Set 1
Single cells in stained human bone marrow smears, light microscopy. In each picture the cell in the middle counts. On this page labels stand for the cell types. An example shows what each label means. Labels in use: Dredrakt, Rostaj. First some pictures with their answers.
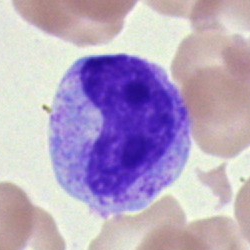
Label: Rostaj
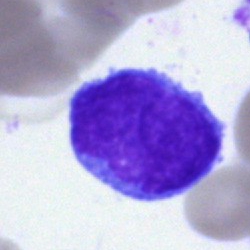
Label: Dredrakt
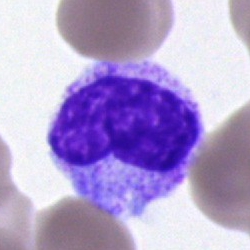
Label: Rostaj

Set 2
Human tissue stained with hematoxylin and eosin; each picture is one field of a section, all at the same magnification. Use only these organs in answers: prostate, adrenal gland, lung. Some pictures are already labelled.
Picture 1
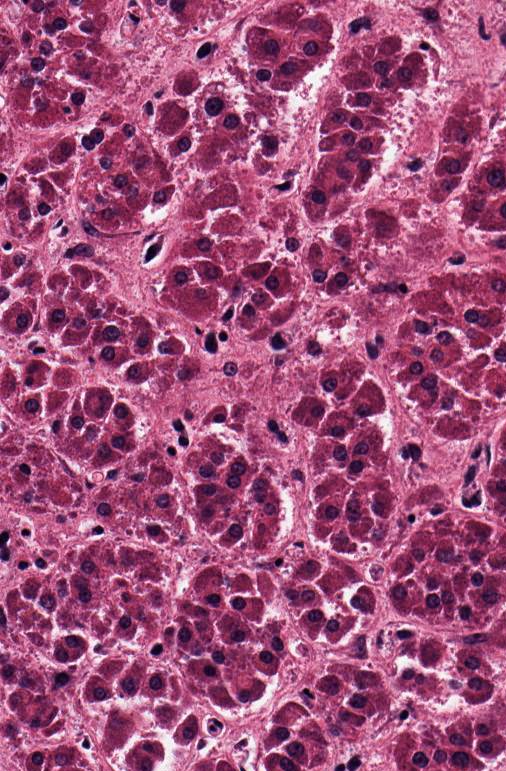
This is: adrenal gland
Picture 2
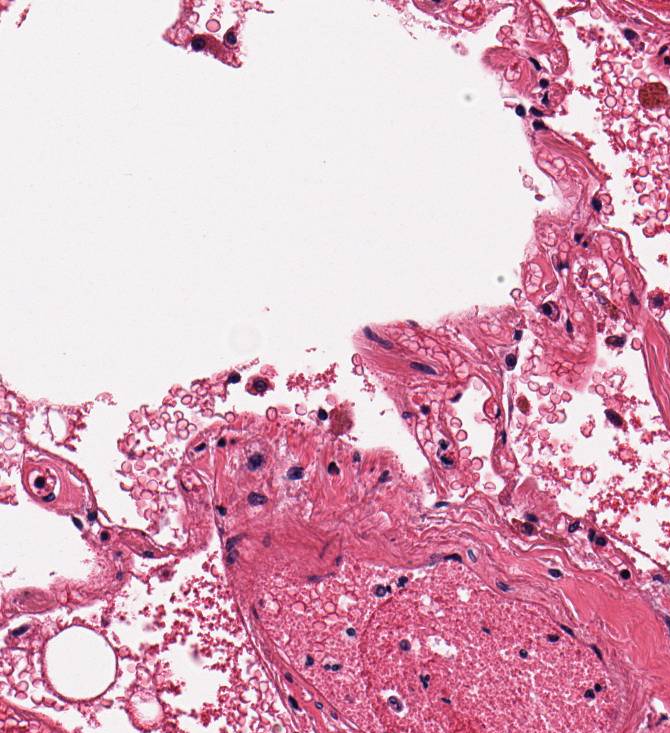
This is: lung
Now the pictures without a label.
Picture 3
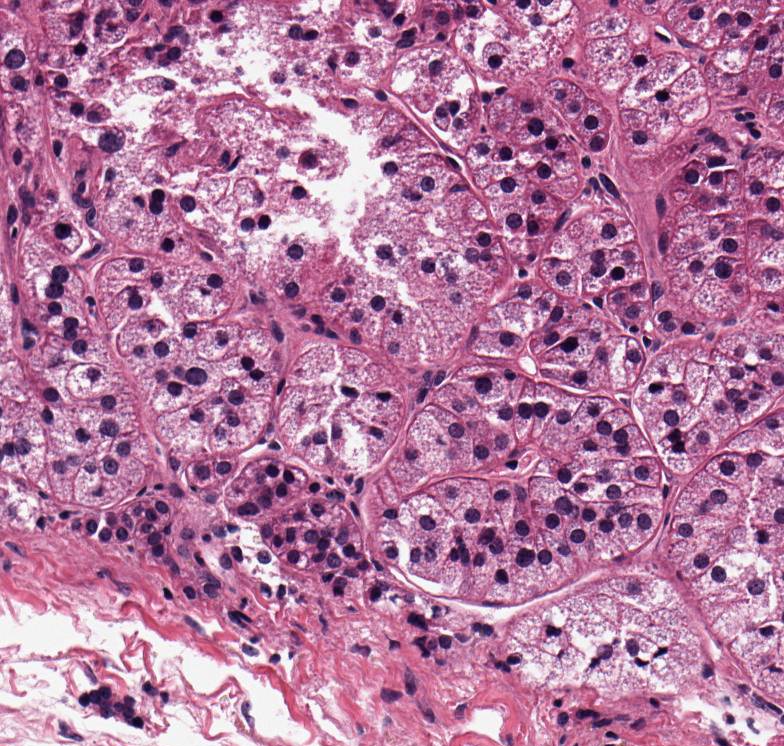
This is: adrenal gland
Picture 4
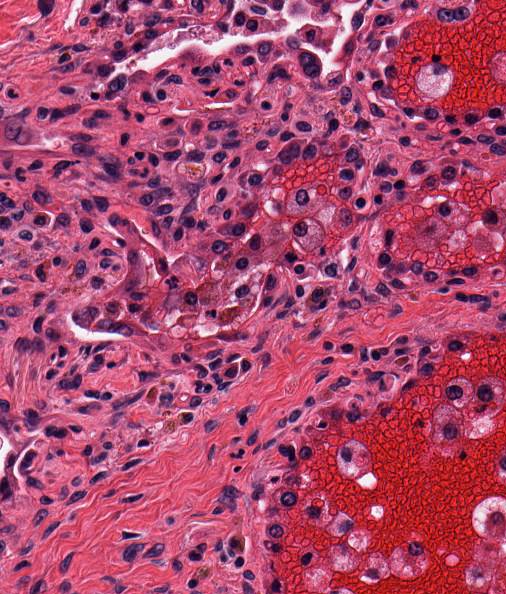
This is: lung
